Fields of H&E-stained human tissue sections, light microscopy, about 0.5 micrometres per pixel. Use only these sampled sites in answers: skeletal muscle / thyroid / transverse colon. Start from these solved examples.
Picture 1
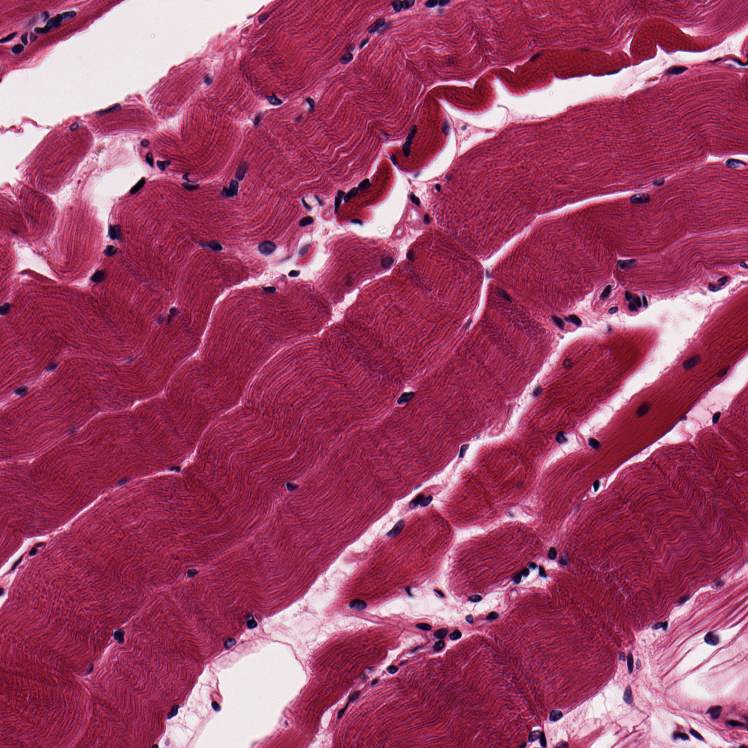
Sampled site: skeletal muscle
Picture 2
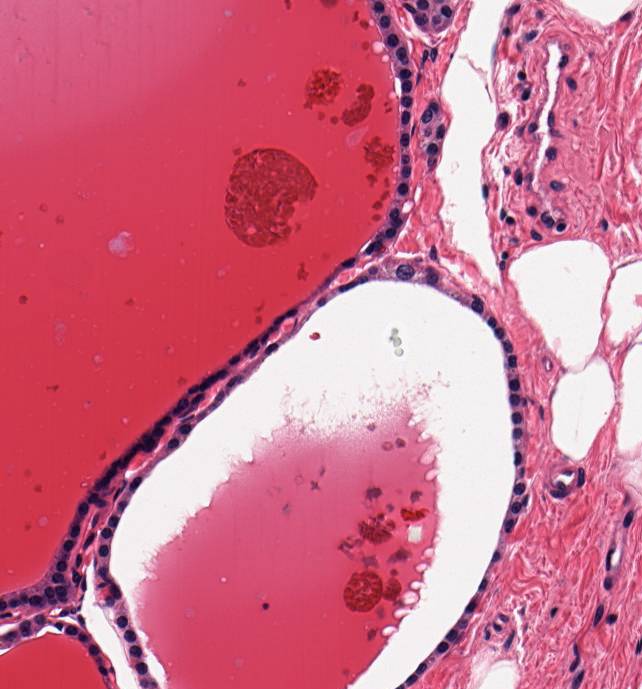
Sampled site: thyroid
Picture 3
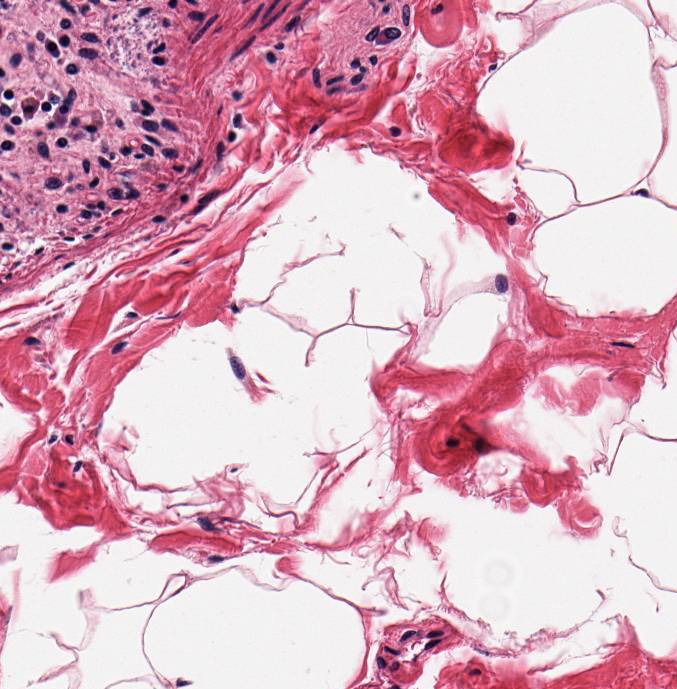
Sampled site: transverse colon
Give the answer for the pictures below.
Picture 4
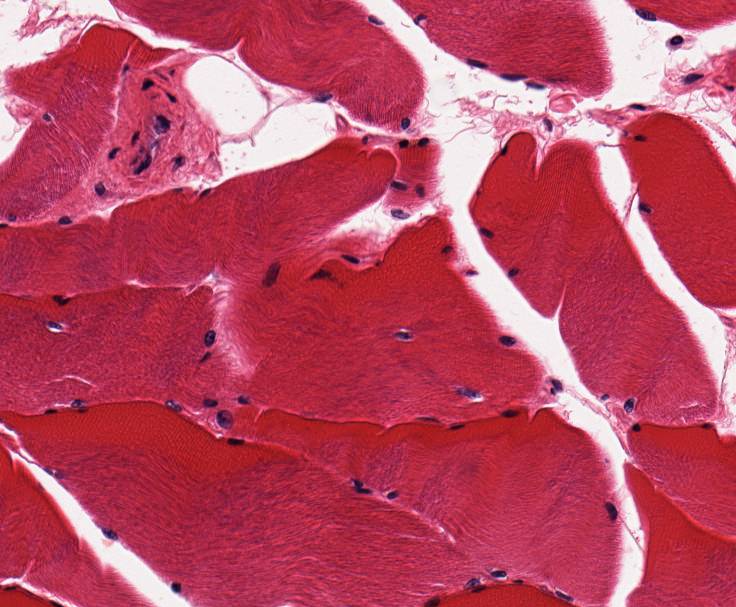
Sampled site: skeletal muscle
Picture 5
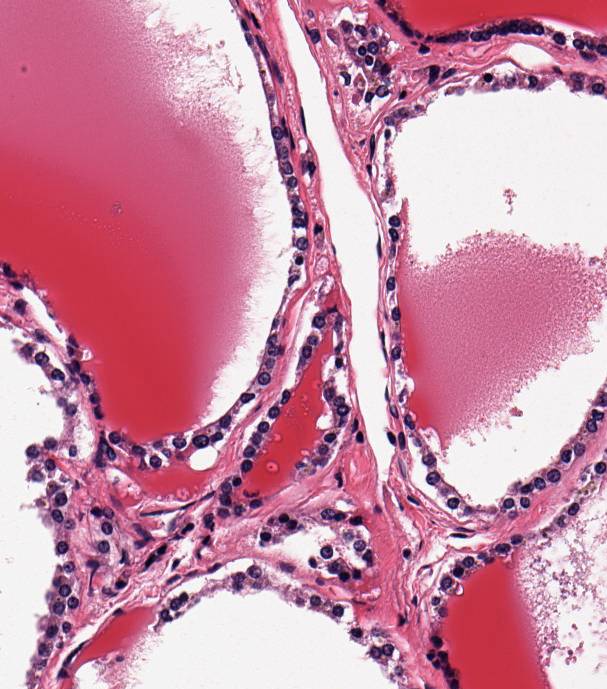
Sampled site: thyroid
